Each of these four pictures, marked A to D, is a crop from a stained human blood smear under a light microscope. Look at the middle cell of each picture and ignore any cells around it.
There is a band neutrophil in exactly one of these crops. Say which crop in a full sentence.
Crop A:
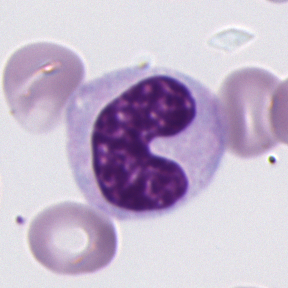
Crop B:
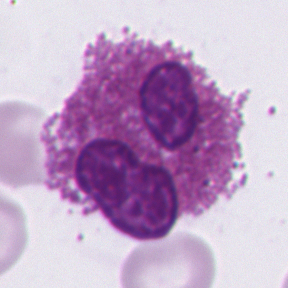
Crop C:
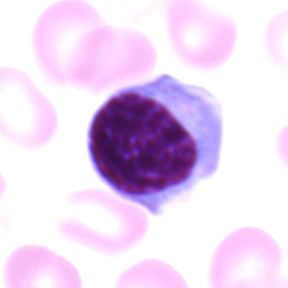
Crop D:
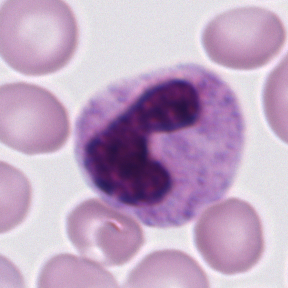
Crop A is the crop whose central cell is a band neutrophil.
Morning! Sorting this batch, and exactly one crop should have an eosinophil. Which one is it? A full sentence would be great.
It is the cell in crop B that is an eosinophil.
